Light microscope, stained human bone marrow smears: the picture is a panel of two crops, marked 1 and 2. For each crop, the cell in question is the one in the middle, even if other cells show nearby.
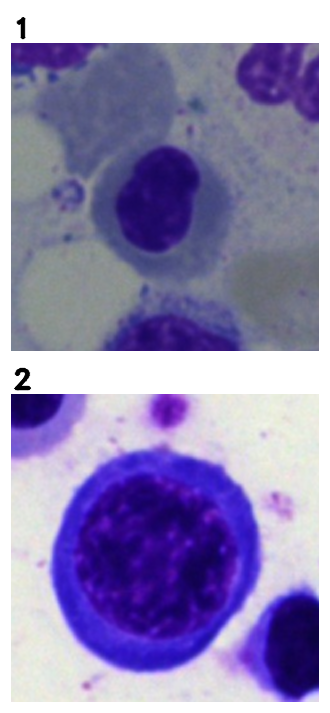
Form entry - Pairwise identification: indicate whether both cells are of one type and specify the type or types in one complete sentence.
Yes, the cells centred in the two crops are both erythroblasts.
